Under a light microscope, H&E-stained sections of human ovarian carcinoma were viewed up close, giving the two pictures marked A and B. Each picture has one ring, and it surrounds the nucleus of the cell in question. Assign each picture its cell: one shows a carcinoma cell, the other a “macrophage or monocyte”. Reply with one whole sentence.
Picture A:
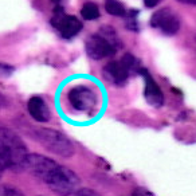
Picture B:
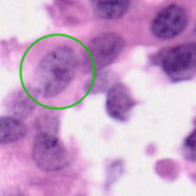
It is picture A that shows a “macrophage or monocyte”, and picture B that shows a carcinoma cell.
